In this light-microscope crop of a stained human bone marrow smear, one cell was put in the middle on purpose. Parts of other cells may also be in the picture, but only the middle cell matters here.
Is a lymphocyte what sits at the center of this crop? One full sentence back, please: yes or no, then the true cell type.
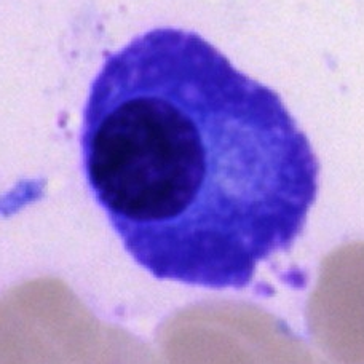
No, not a lymphocyte but a plasma cell is the cell in the centre.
